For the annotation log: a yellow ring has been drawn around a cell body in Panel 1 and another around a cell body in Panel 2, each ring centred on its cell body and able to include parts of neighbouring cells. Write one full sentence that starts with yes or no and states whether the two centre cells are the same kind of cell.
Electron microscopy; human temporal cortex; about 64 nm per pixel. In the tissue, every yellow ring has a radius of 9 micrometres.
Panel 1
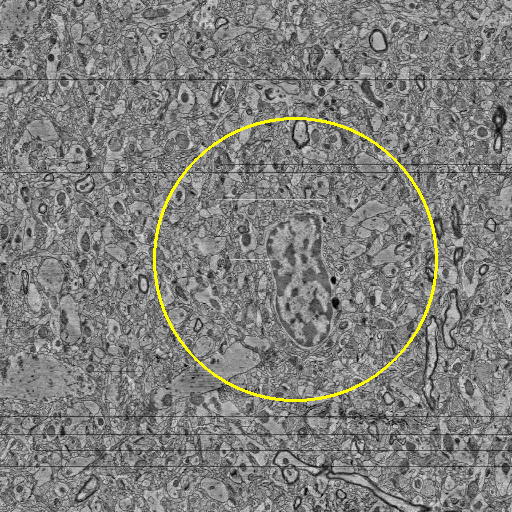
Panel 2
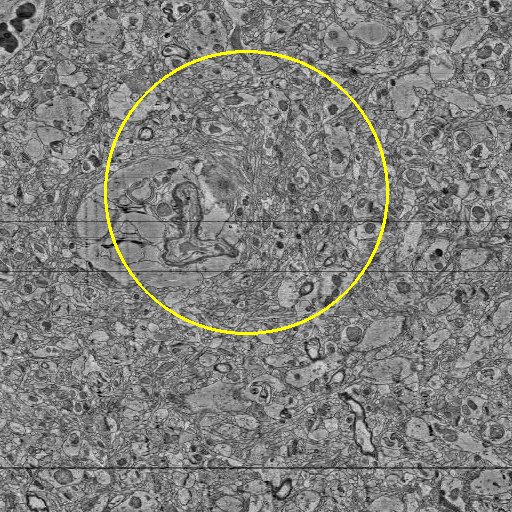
No, the two centre cells are two kinds of cell.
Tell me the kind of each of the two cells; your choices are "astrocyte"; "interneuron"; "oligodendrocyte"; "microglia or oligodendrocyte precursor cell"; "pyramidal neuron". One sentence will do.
The ringed cell is a microglial cell or oligodendrocyte precursor cell in the first picture and an oligodendrocyte in the second picture.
